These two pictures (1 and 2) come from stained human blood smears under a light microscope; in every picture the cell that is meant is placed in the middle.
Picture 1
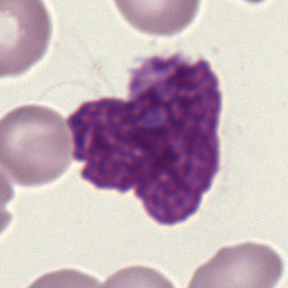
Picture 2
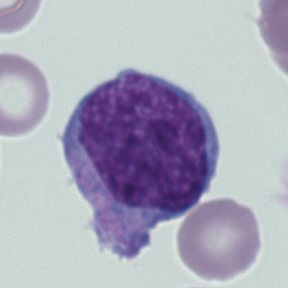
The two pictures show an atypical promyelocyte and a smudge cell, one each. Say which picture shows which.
1: smudge cell
2: atypical promyelocyte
